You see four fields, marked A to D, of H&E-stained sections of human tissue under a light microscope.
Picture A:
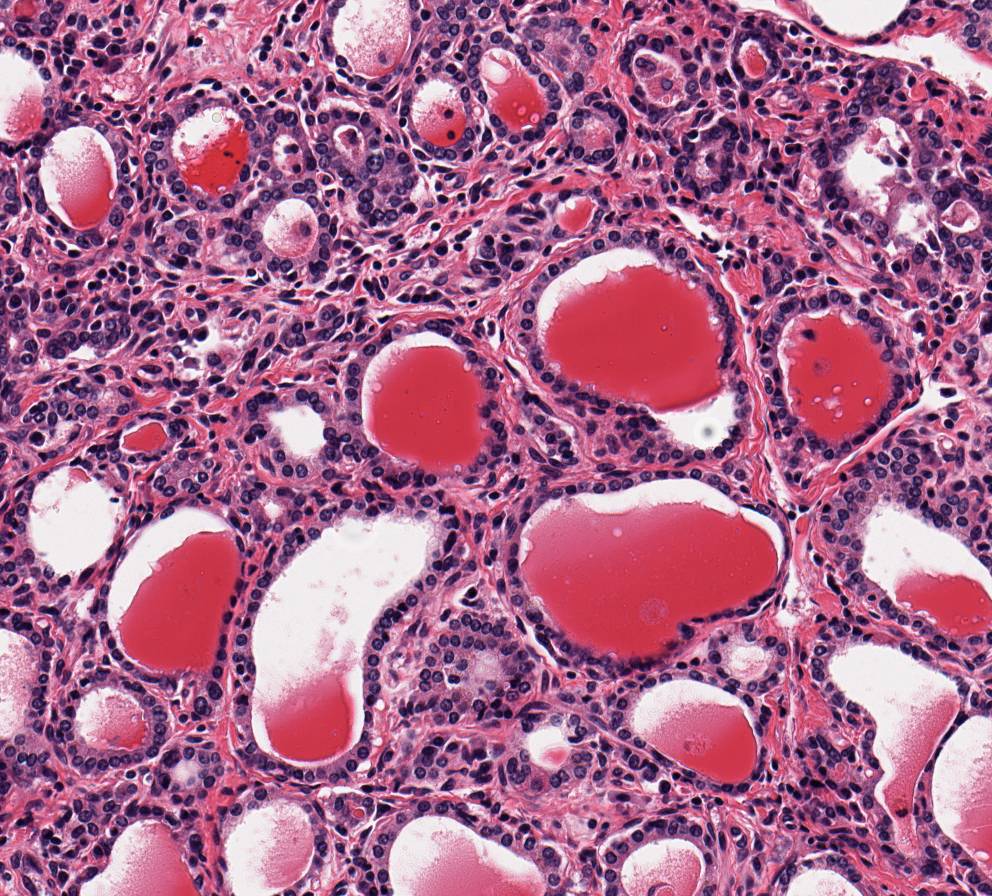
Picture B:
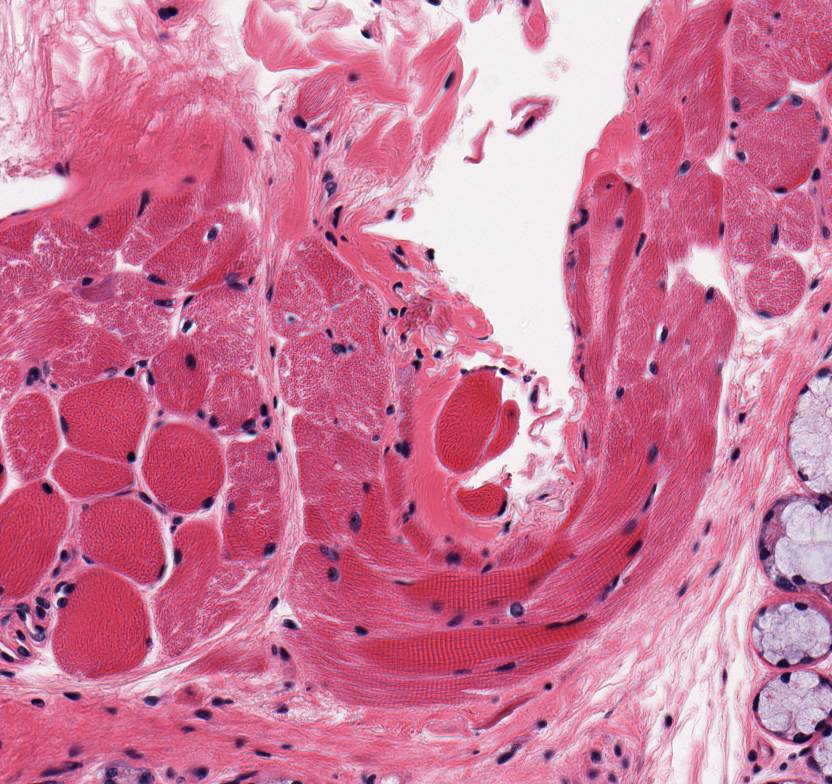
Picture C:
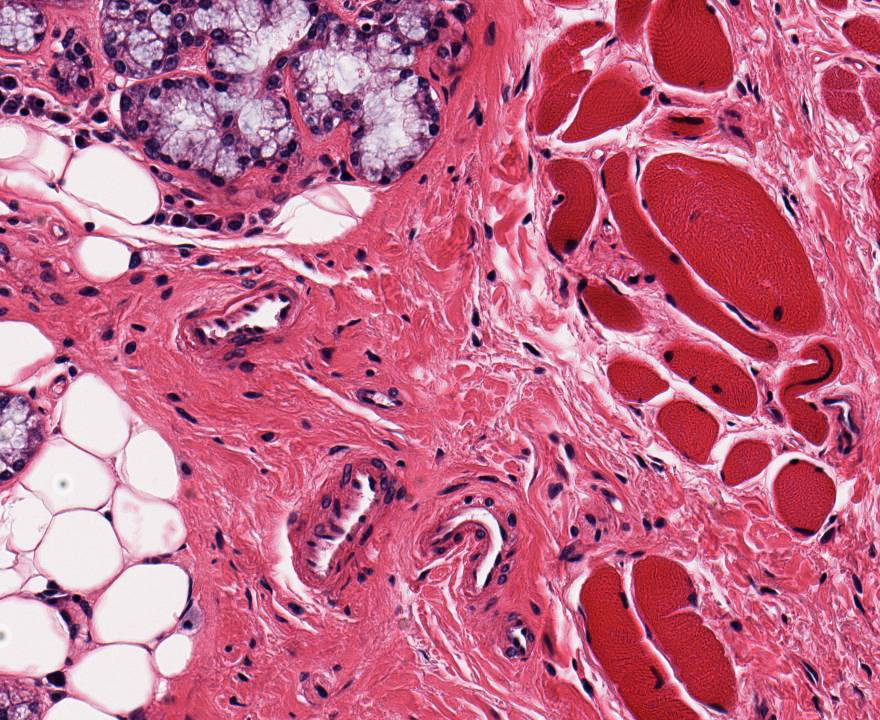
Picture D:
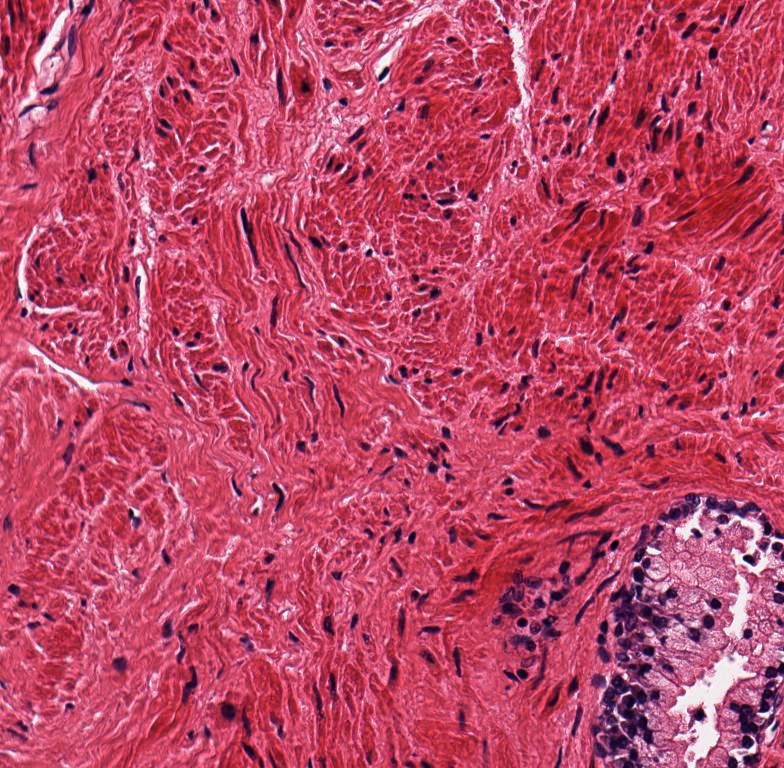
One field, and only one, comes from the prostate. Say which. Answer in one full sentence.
Picture D comes from the prostate.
